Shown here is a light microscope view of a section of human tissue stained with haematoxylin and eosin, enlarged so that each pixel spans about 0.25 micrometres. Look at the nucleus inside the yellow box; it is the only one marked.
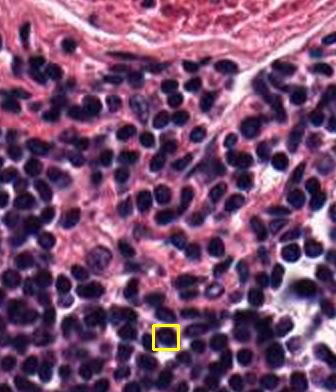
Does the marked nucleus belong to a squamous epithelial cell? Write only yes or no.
no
